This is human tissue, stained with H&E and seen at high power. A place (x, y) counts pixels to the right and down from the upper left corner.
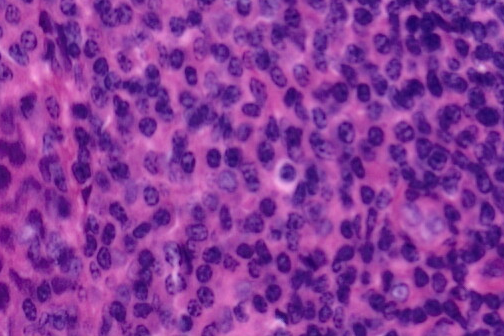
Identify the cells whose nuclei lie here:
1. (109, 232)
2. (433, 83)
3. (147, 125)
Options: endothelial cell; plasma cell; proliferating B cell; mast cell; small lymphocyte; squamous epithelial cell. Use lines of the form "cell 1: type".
cell 1: plasma cell
cell 2: small lymphocyte
cell 3: plasma cell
